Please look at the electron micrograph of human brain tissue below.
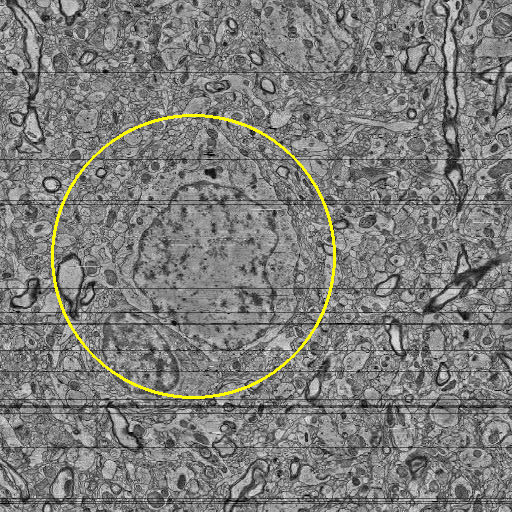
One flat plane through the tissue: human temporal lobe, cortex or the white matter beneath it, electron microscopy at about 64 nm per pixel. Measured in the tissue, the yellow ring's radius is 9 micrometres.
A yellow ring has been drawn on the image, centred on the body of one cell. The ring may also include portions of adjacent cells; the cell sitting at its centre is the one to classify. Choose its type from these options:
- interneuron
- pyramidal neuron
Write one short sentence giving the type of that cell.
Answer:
The cell in the middle of the ring is an interneuron.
